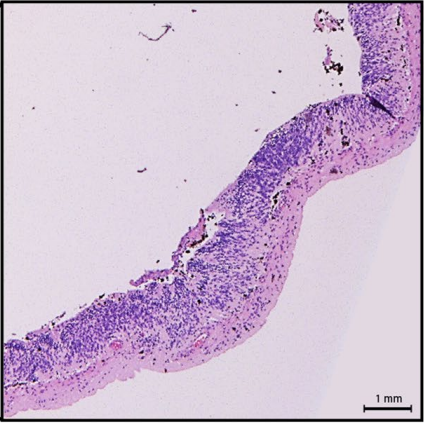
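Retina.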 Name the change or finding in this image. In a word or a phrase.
Loss of normal layer architecture.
